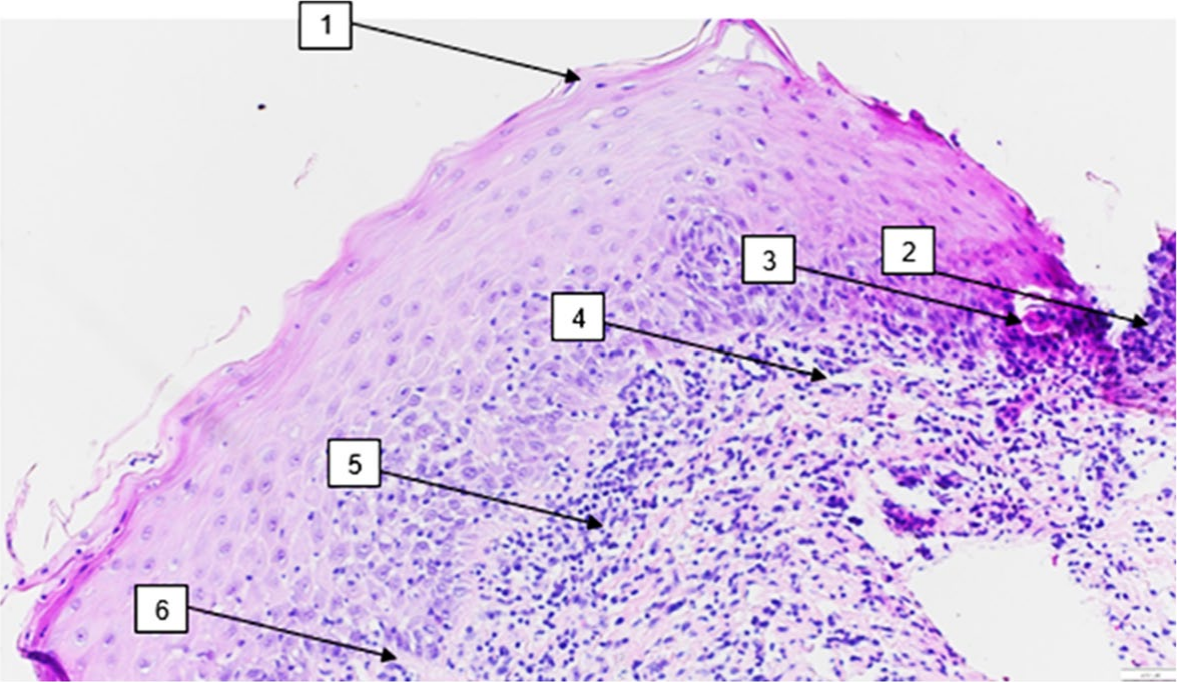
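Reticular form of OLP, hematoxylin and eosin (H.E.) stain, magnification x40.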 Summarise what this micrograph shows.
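This is stratified squamous epithelium of mucosa with the connective tissue beneath it. At the epithelial base the orderly basal cells are obscured: a dense band of small, dark, round nuclei of lymphocytes crowds the upper connective tissue and presses against and into the lower epithelium, blurring the junction. A few rounded pink bodies lie near the damaged base. Deeper, looser pink connective tissue with scattered cells and a vessel-like space appears.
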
